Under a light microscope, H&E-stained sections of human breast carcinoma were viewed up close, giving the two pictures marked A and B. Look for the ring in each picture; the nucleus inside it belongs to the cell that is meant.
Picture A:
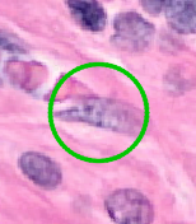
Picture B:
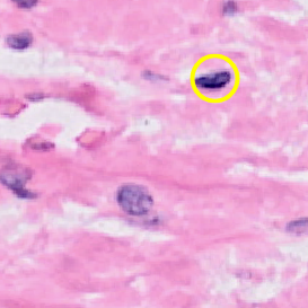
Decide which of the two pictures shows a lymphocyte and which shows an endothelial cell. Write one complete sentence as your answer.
It is picture A that shows an endothelial cell, and picture B that shows a lymphocyte.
